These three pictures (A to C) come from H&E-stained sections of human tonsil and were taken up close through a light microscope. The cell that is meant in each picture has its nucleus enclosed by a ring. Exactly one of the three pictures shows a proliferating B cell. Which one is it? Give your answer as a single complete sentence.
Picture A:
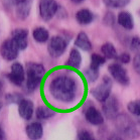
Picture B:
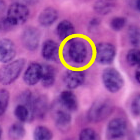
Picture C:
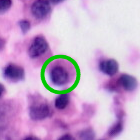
The proliferating B cell is the one in picture A.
